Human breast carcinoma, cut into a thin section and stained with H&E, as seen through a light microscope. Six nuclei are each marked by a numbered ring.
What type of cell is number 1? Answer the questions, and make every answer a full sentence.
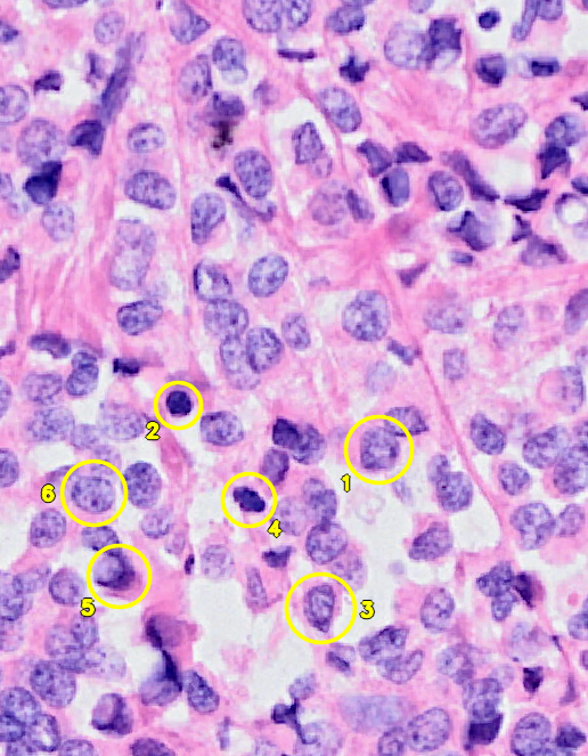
Among the marked nuclei, number 1 belongs to a carcinoma cell.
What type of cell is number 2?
Cell 2 is classified as a lymphocyte.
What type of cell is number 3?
The correct label for cell 3 is a carcinoma cell.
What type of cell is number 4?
Here the cell numbered 4 is a lymphocyte.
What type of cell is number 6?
Regarding cell 6, this one is a carcinoma cell.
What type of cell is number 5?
The mark numbered 5 indicates the nucleus of a carcinoma cell.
